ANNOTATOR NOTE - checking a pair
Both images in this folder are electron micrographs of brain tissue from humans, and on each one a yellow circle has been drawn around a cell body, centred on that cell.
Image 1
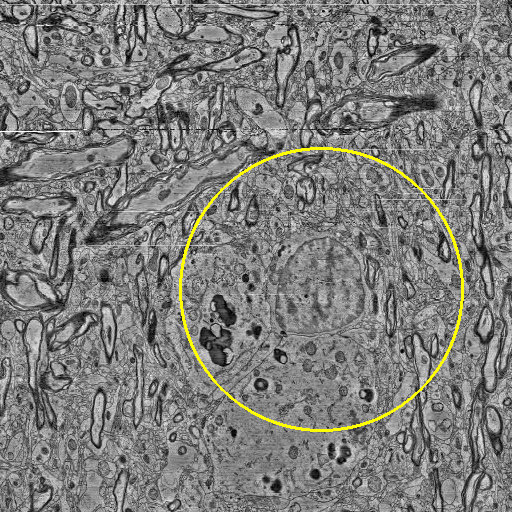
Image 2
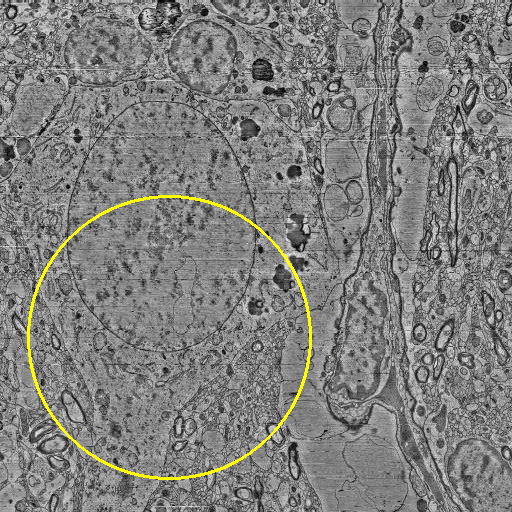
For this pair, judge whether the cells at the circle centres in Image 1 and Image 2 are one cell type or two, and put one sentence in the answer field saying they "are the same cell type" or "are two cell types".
For this pair, the cells at the circle centres in Images 1 and 2 are two cell types.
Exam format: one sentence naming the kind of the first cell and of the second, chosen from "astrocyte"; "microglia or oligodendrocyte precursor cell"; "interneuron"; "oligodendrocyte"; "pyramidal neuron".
The first picture's cell is an oligodendrocyte, and the second picture's cell is a pyramidal neuron.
